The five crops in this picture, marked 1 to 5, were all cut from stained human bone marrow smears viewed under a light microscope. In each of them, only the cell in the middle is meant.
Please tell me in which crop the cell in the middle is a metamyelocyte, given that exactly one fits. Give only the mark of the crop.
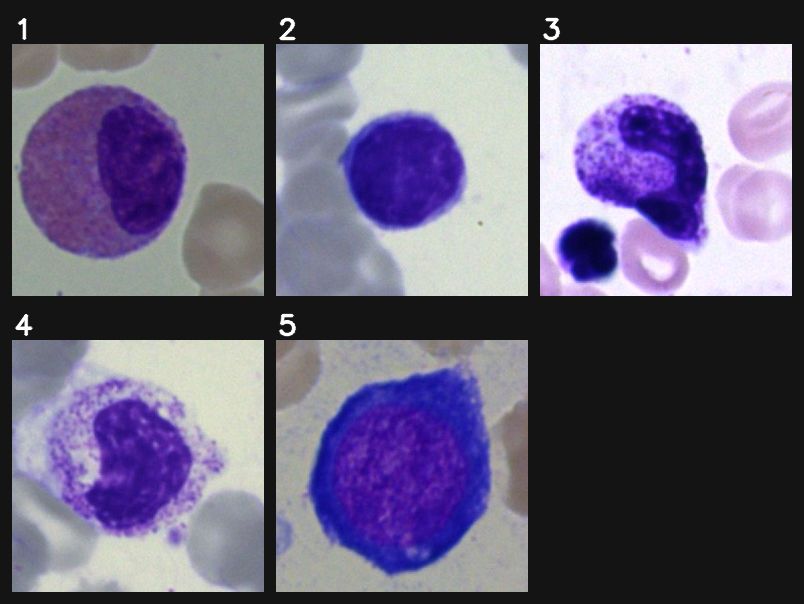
4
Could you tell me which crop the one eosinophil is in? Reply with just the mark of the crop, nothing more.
1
